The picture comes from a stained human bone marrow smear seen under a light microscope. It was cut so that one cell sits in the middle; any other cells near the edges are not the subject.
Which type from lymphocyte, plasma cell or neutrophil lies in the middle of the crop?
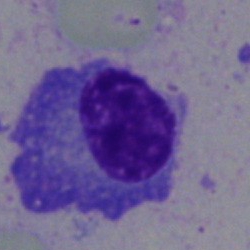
plasma cell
